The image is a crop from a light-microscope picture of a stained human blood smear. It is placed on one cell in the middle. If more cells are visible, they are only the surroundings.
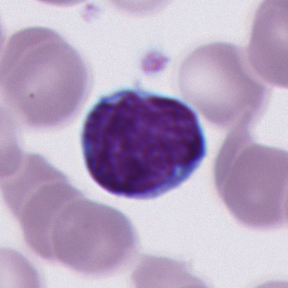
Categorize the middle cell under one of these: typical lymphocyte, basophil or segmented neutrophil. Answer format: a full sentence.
The cell that lies at the centre of the crop is a typical lymphocyte.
